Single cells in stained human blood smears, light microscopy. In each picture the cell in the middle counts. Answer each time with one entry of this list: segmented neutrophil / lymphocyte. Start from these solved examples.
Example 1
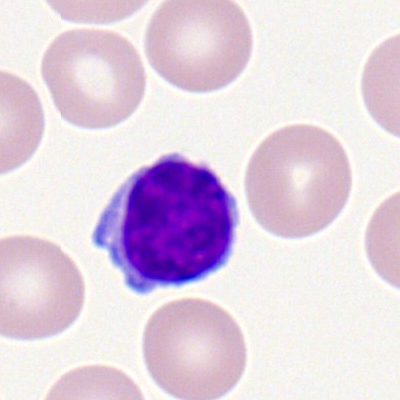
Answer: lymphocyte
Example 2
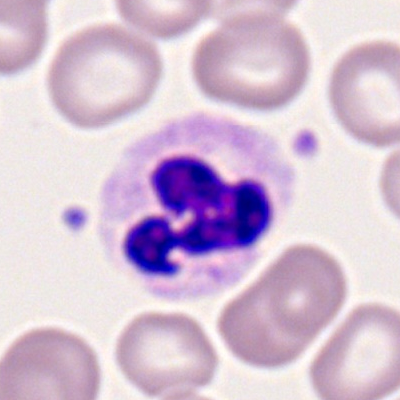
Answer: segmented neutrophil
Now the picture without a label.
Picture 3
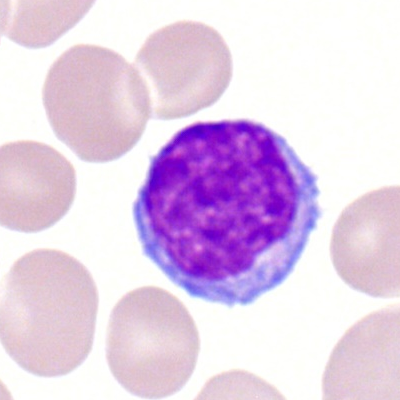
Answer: lymphocyte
